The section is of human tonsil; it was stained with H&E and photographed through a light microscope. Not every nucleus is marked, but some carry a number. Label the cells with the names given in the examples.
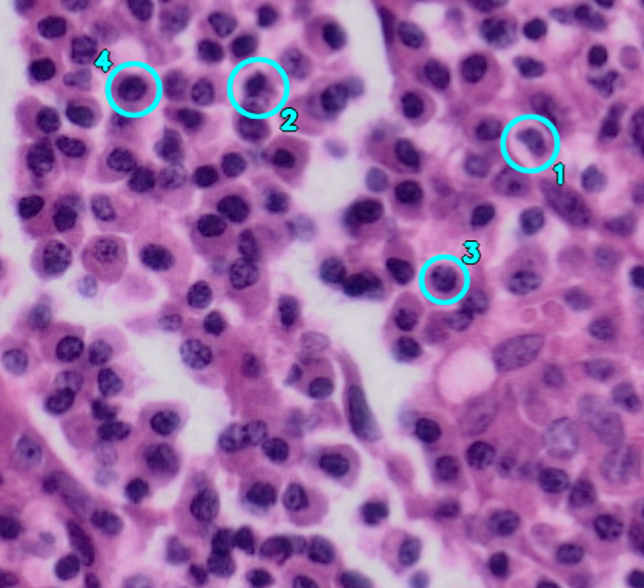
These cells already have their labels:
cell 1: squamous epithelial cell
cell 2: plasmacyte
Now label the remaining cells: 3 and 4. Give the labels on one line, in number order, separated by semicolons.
plasmacyte; plasmacyte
